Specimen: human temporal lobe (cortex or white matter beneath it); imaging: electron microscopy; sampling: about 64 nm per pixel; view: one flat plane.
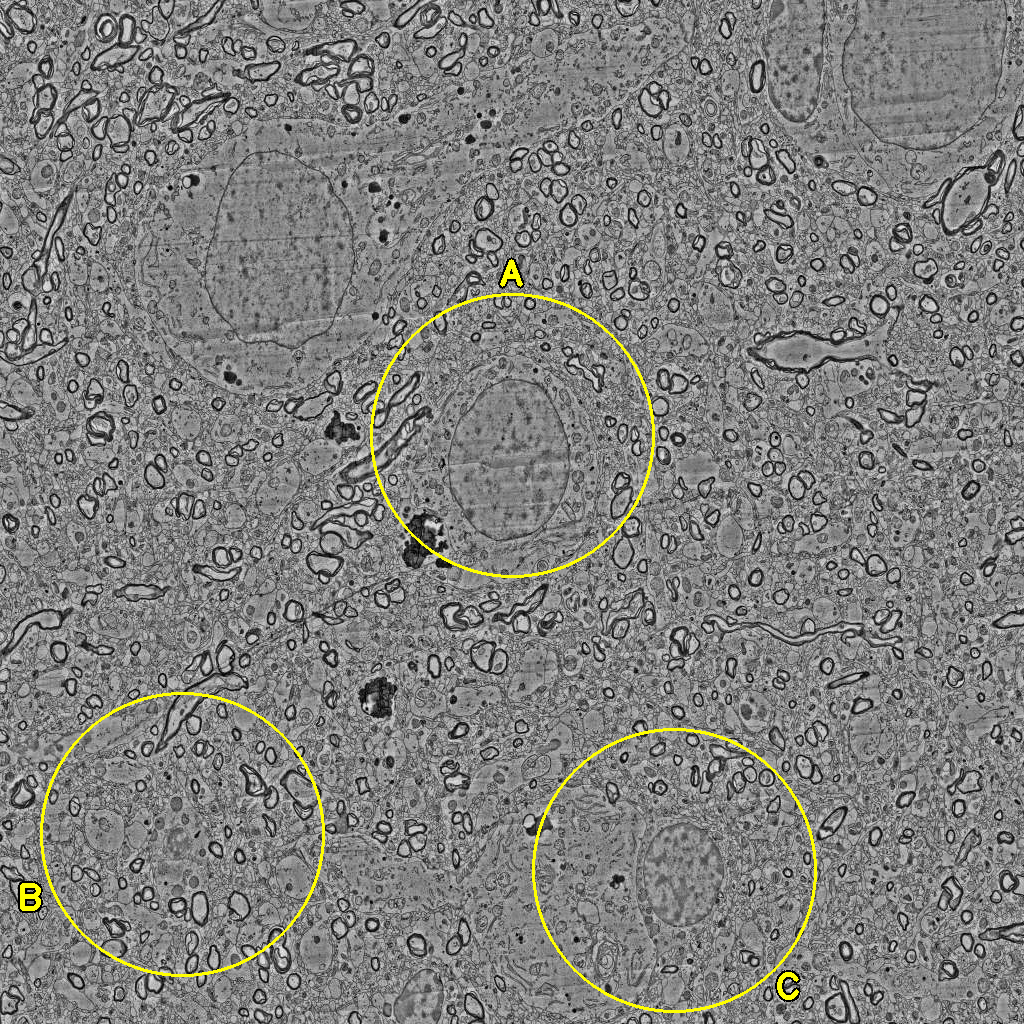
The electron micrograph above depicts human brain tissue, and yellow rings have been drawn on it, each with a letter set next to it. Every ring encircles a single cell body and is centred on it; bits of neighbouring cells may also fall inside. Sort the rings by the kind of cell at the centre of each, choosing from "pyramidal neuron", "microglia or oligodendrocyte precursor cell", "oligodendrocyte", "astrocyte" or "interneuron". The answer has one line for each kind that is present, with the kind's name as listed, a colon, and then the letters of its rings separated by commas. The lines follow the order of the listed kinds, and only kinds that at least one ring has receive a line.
oligodendrocyte: B, C
interneuron: A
